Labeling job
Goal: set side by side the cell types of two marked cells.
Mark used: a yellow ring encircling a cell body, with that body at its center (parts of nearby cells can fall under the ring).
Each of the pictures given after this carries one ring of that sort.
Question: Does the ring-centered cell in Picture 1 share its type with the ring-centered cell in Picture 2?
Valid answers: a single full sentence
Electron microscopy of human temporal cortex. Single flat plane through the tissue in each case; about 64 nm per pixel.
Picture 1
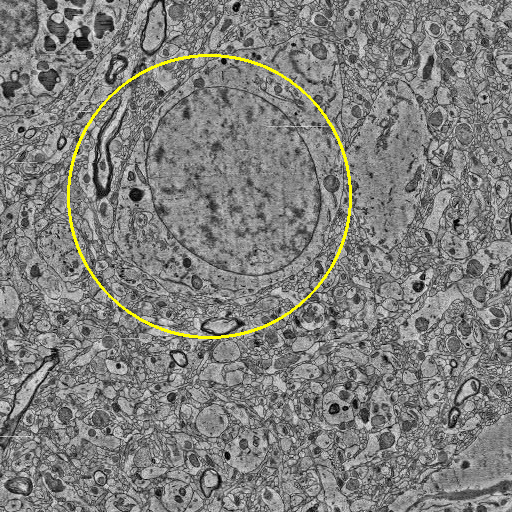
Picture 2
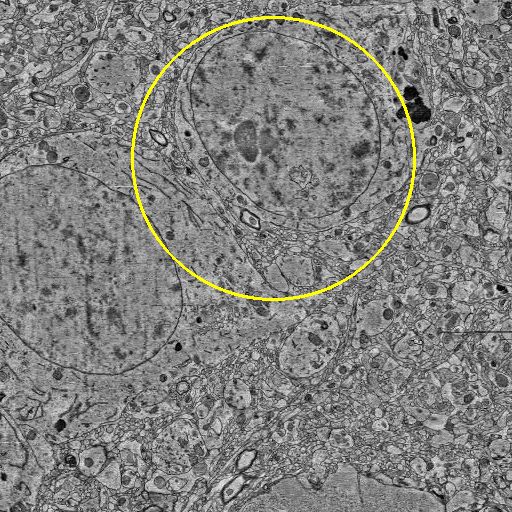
Yes, in Pictures 1 and 2 the cells at the ring centers share one type.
